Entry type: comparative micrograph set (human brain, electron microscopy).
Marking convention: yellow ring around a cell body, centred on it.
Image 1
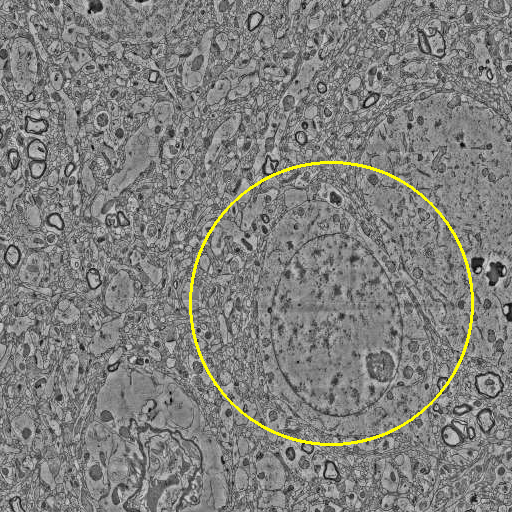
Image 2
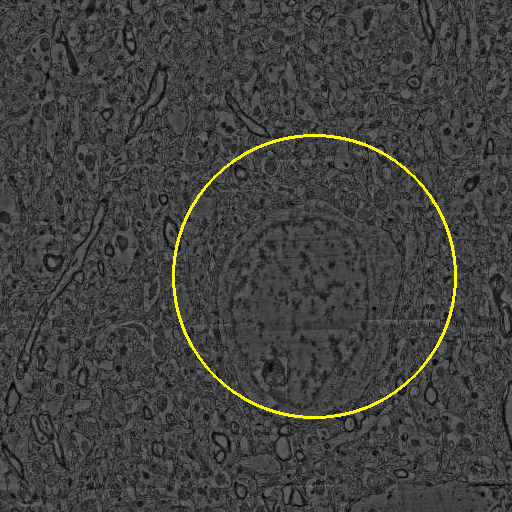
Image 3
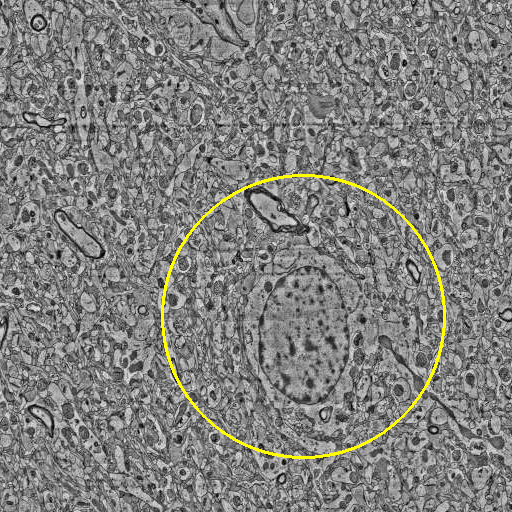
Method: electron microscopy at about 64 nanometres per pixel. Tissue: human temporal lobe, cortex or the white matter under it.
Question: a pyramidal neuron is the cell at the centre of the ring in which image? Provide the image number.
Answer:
1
